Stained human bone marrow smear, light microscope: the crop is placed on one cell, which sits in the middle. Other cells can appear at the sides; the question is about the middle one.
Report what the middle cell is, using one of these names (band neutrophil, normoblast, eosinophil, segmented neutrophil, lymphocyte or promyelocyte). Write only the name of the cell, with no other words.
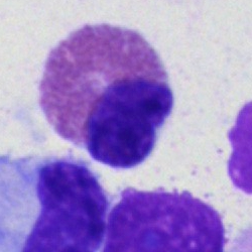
eosinophil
